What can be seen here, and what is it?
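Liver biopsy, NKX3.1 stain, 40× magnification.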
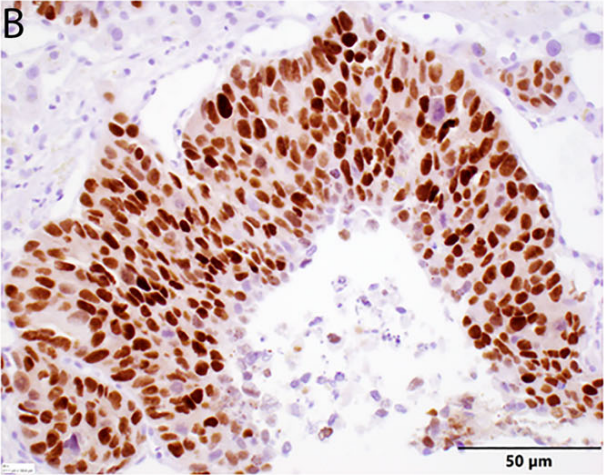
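Tumour cells in a crowded nest show strong brown staining of nearly all their oval nuclei, while the cytoplasm stays pale. A central space holds loose necrotic debris, and the surrounding stroma cells have blue, unstained nuclei.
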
